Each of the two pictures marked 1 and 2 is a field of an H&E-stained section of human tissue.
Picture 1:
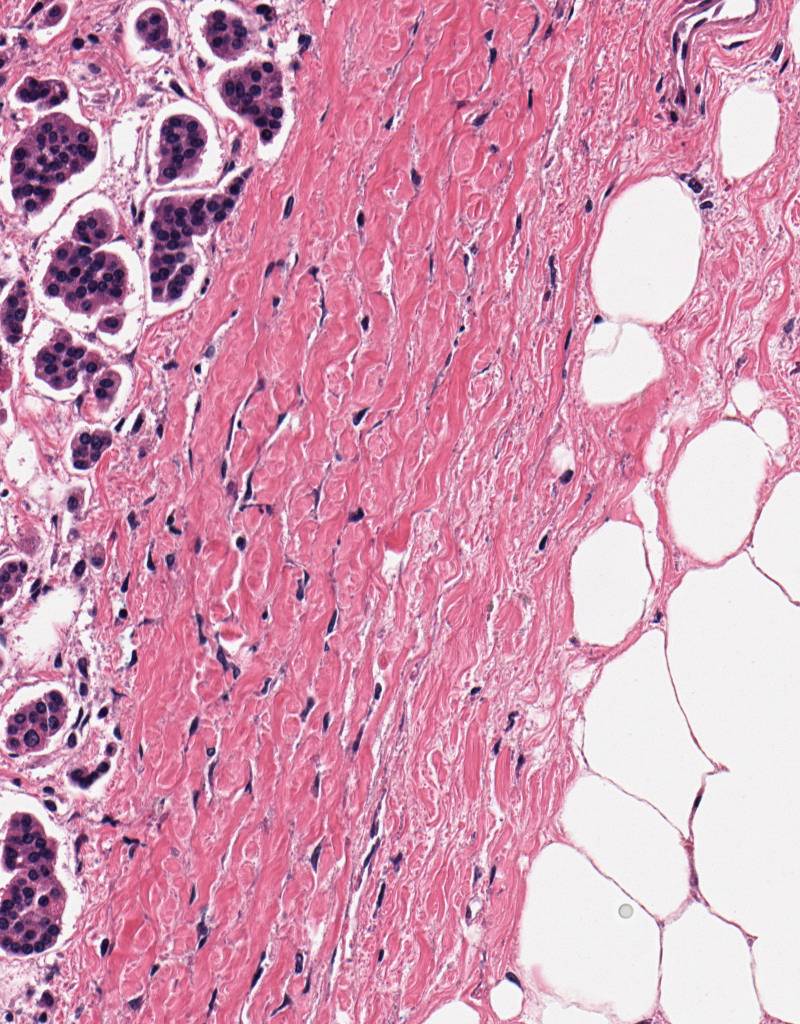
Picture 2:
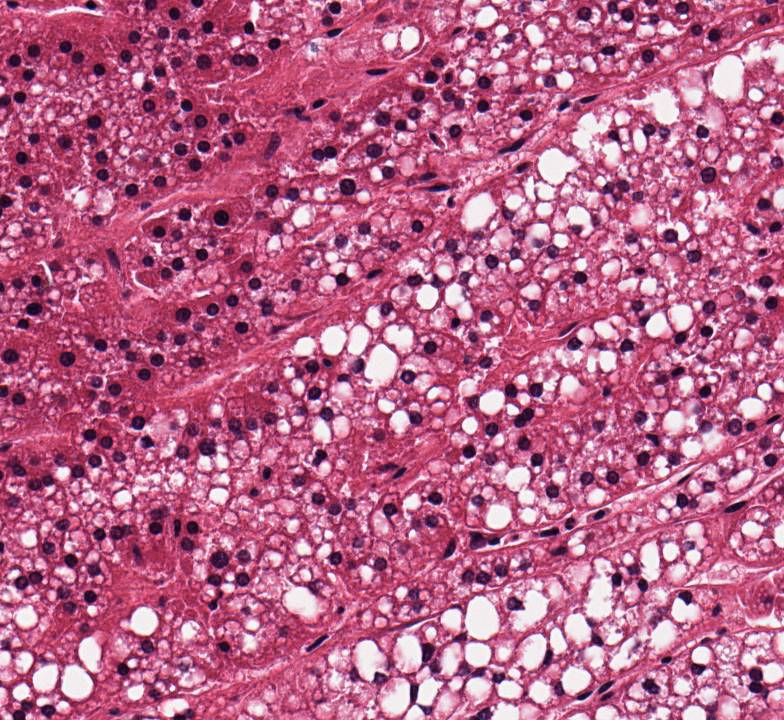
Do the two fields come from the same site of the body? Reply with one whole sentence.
Yes, the two fields both come from the adrenal gland.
